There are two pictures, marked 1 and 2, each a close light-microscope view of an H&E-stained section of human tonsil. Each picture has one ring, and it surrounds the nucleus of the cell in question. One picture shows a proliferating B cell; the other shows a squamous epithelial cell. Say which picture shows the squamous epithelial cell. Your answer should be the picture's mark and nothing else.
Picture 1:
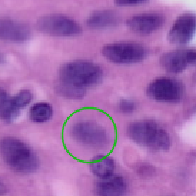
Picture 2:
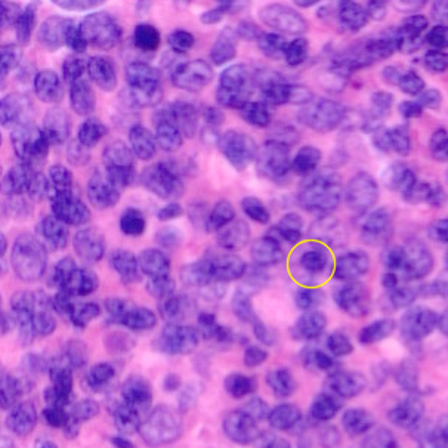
1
